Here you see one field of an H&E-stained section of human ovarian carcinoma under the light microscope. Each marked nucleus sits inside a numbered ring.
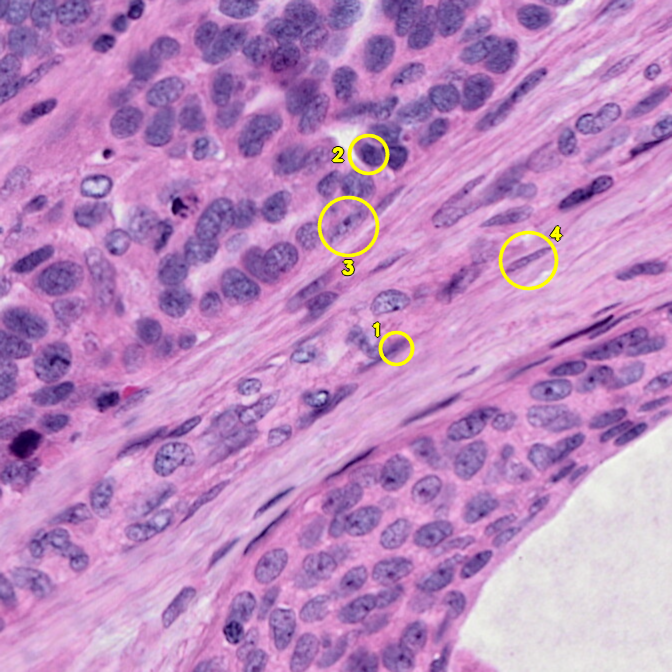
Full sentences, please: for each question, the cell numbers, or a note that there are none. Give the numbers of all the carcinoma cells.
The numbered cell that is a carcinoma cell is cell 2, and it is the only one.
